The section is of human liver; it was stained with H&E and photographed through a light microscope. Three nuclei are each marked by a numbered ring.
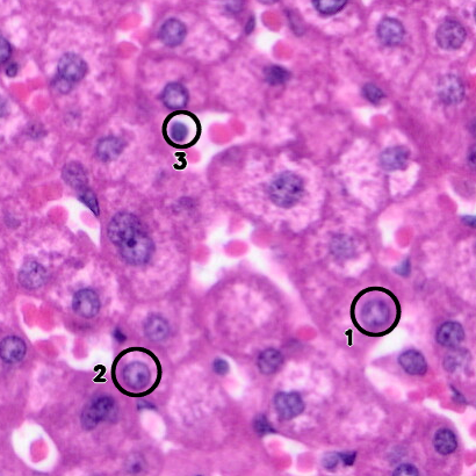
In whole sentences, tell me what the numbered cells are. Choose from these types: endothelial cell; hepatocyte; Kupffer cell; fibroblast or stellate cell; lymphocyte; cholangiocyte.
Cells 1 and 2 are hepatocytes. Cell 3 is a lymphocyte.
